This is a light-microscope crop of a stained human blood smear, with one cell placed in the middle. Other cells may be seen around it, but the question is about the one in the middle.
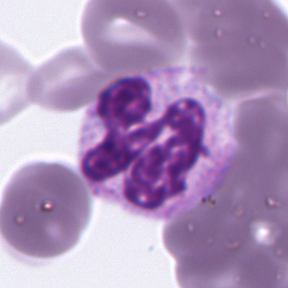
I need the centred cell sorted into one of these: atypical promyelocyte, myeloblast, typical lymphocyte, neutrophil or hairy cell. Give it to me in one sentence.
The central cell, amid any neighbouring cells, is a neutrophil.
